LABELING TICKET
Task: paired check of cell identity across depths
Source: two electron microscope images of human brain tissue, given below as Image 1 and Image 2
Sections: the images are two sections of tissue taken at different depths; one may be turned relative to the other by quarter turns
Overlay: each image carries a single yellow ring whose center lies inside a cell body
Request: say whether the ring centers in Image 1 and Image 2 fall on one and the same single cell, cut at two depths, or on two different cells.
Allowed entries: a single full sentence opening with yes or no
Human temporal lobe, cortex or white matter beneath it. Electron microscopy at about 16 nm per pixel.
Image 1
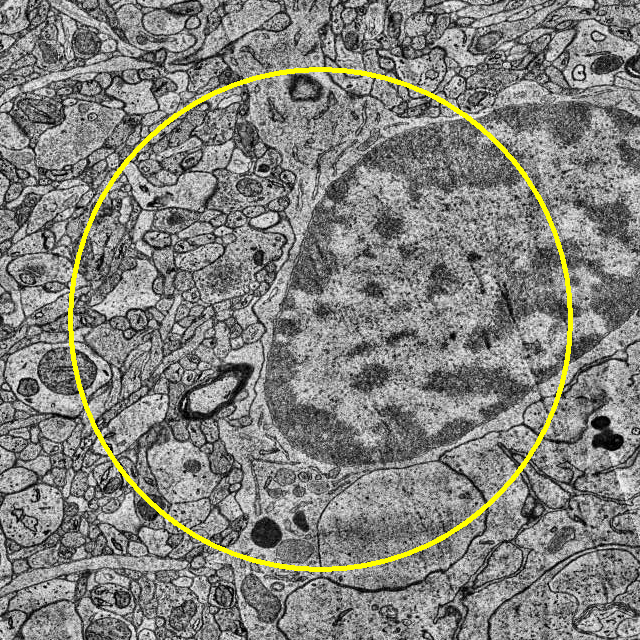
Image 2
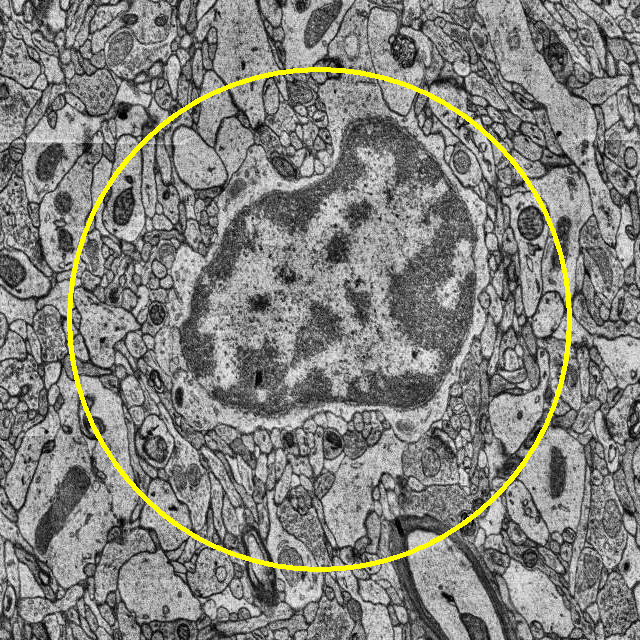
No, two separate cells are outlined by these yellow rings.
